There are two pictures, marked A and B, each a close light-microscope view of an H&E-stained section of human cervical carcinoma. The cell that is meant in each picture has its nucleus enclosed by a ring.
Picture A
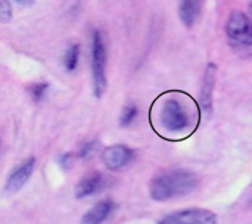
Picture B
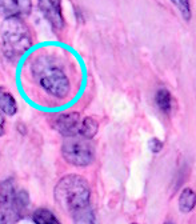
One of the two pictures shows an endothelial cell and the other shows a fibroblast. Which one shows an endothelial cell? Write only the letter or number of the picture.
B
